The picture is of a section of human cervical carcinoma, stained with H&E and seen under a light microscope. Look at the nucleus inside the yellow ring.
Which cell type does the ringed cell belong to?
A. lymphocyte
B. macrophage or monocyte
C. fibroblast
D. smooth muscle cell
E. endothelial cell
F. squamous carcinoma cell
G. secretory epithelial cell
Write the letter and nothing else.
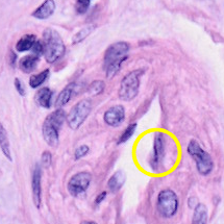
E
